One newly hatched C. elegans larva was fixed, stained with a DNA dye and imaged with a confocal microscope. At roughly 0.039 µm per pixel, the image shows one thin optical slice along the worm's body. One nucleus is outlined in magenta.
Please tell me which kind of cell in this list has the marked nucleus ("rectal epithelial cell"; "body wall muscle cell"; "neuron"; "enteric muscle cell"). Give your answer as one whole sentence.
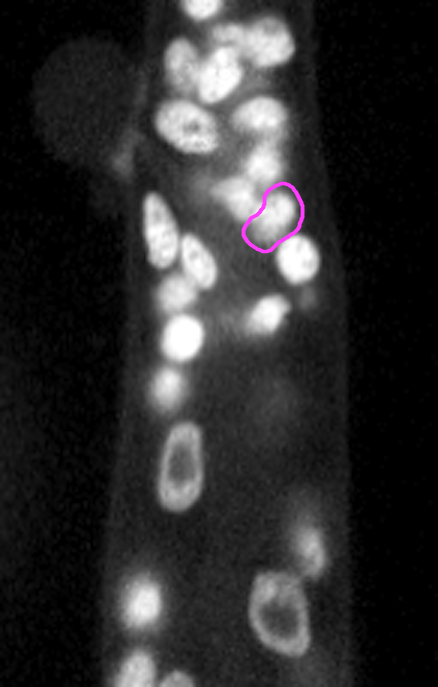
This is the nucleus of a rectal epithelial cell.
